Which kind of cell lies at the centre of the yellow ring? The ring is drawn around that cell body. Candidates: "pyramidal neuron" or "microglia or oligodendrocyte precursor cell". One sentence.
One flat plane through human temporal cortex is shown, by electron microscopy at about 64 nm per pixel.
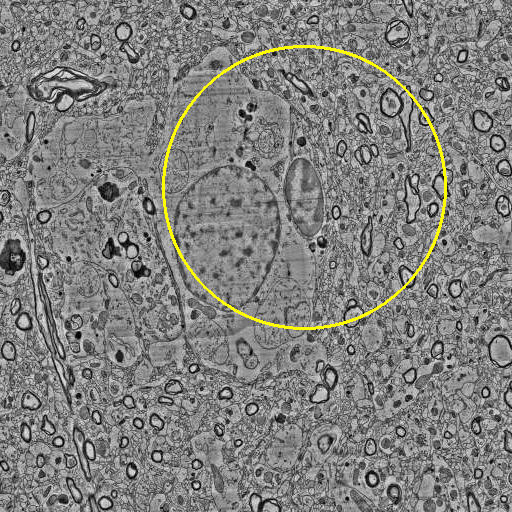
Lying at the centre of the ring is a microglial cell or oligodendrocyte precursor cell.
